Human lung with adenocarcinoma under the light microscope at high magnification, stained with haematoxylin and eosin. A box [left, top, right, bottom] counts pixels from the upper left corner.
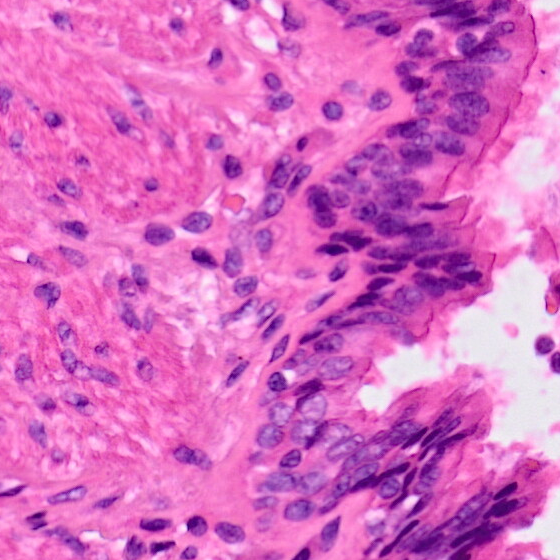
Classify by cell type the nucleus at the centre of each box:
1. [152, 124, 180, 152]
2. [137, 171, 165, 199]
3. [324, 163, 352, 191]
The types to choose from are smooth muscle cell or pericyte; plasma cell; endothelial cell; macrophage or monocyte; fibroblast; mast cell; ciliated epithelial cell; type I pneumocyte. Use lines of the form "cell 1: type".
cell 1: smooth muscle cell or pericyte
cell 2: smooth muscle cell or pericyte
cell 3: ciliated epithelial cell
